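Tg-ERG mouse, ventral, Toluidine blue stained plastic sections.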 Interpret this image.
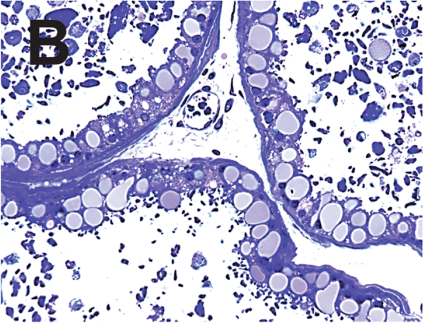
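Prostate glands are lined by luminal epithelial cells that are lower and more cuboidal than normal tall columnar cells. The epithelium is packed with many round, pale, clear vacuoles of varying size that stain lighter than the surrounding blue-purple cytoplasm, and the lumens contain scattered dark fragments of secretion and debris.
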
